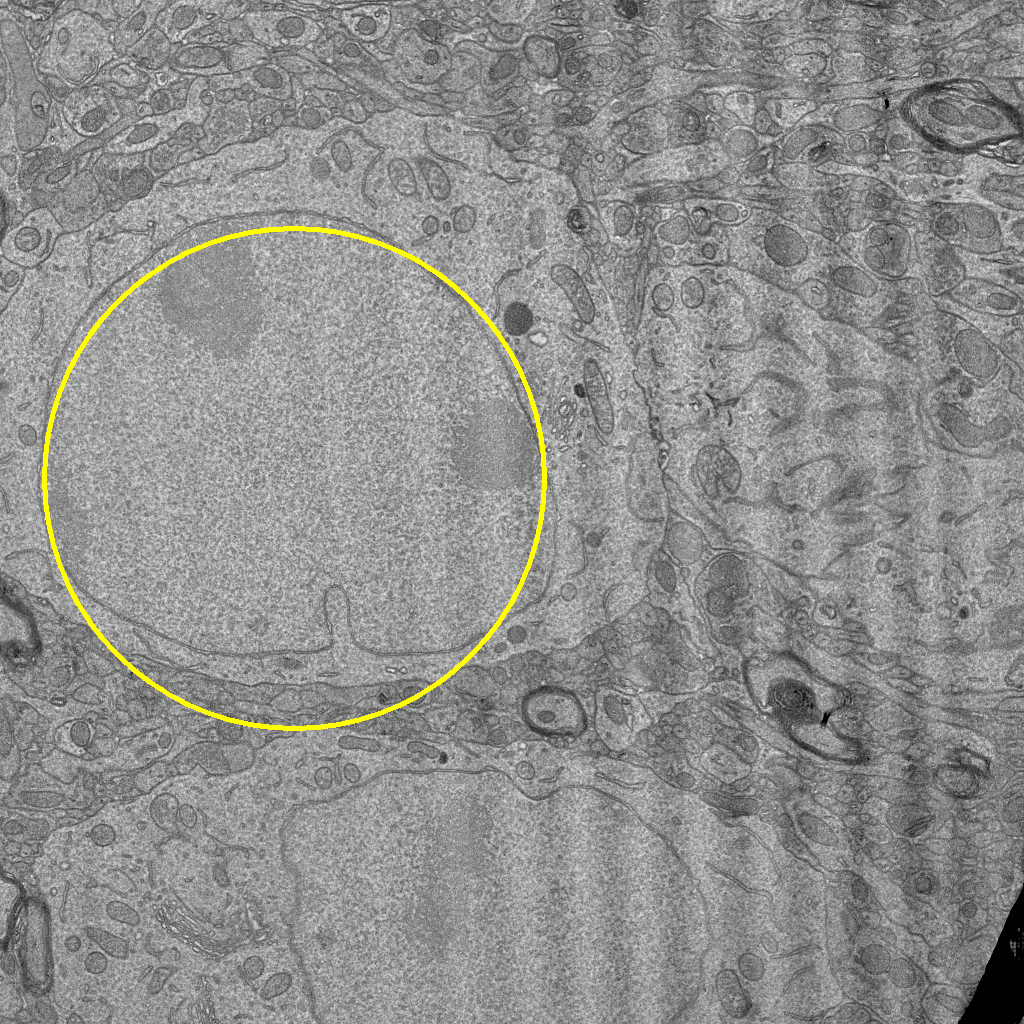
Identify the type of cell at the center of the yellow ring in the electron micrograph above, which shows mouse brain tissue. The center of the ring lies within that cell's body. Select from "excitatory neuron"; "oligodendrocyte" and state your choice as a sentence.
The center of the yellow ring lies in the body of an excitatory neuron.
